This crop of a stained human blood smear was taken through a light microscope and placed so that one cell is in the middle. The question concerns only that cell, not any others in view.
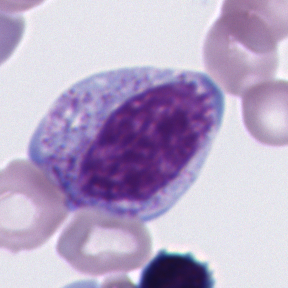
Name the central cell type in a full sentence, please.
In the middle of this smear crop is a myelocyte.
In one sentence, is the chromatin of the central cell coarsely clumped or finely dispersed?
The chromatin remains finely textured, with no coarse clumps to speak of.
